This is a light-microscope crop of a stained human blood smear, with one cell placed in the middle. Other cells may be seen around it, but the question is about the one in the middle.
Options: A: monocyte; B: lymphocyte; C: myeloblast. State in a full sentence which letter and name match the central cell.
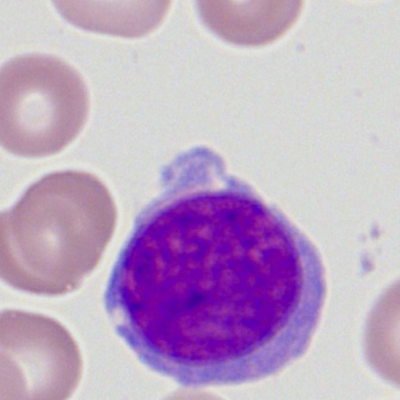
Since the cell in the centre is a myeloblast, the correct option is C.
